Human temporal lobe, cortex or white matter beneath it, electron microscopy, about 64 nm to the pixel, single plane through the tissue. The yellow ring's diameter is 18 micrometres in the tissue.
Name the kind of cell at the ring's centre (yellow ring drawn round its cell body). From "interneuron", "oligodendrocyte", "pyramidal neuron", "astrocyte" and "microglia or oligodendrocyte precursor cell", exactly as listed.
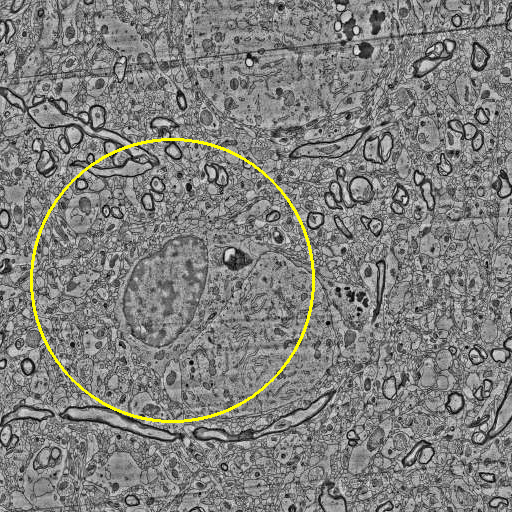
oligodendrocyte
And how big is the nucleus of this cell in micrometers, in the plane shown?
Roughly 7 micrometres long and 5 micrometres wide; in this plane the nucleus is clearly longer than it is wide.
